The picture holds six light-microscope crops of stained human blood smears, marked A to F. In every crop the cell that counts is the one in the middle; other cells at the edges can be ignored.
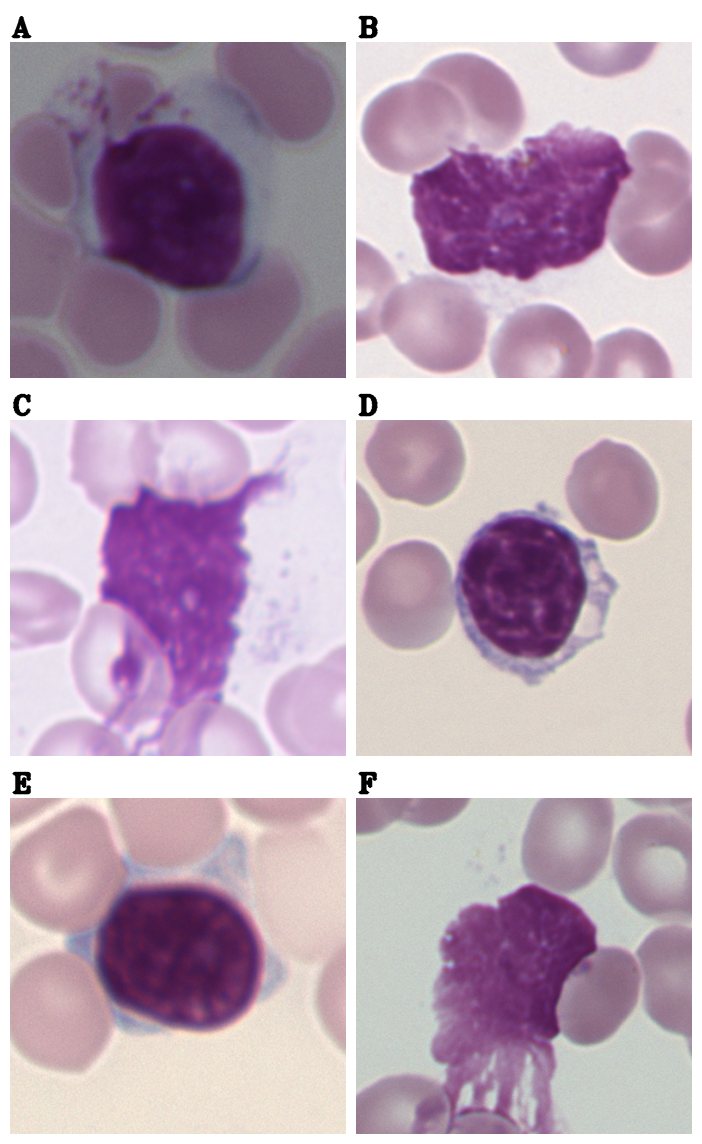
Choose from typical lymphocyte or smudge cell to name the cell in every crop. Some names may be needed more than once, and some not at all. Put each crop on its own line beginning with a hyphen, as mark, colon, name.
- A: typical lymphocyte
- B: smudge cell
- C: smudge cell
- D: typical lymphocyte
- E: typical lymphocyte
- F: smudge cell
